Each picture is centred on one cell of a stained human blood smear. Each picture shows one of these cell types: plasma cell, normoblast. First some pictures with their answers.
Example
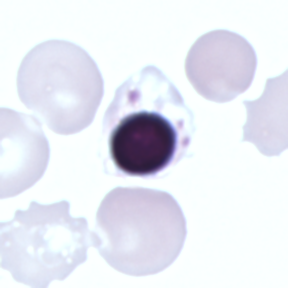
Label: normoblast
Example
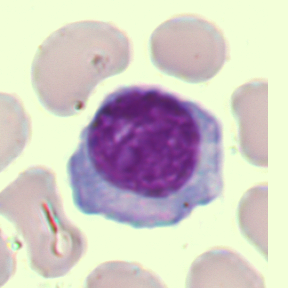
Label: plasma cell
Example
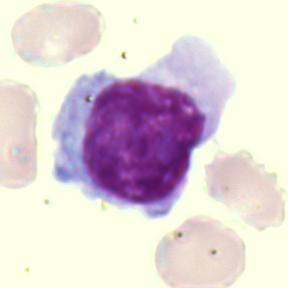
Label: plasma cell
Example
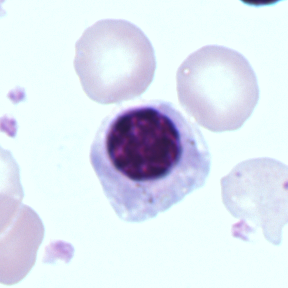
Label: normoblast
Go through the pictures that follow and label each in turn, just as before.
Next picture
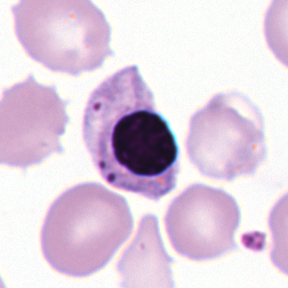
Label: normoblast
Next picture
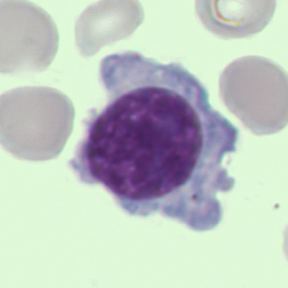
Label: plasma cell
